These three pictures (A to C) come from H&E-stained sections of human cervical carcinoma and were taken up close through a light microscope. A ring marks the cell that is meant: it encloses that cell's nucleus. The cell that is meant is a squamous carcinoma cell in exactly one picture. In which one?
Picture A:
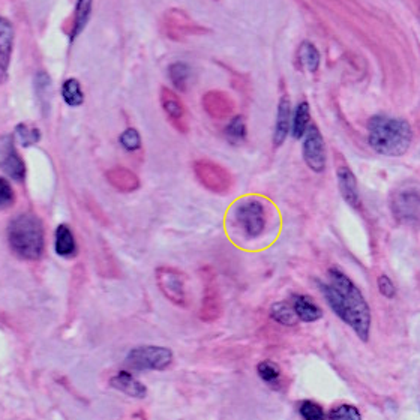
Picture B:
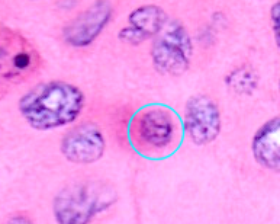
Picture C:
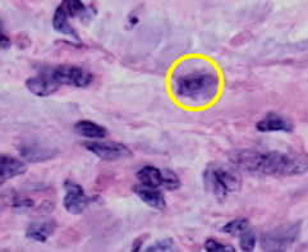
B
